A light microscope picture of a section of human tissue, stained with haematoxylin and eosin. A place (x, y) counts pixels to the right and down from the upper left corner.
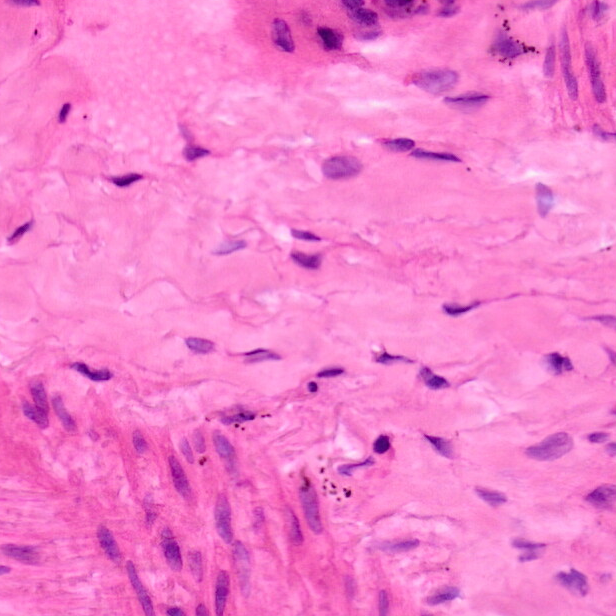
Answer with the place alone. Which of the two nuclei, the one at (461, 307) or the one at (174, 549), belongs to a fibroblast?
(461, 307)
